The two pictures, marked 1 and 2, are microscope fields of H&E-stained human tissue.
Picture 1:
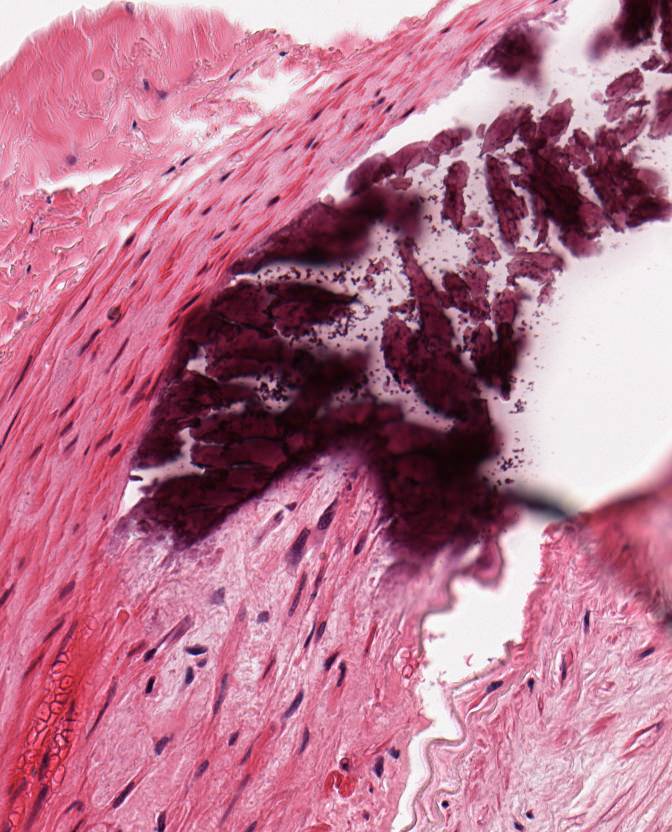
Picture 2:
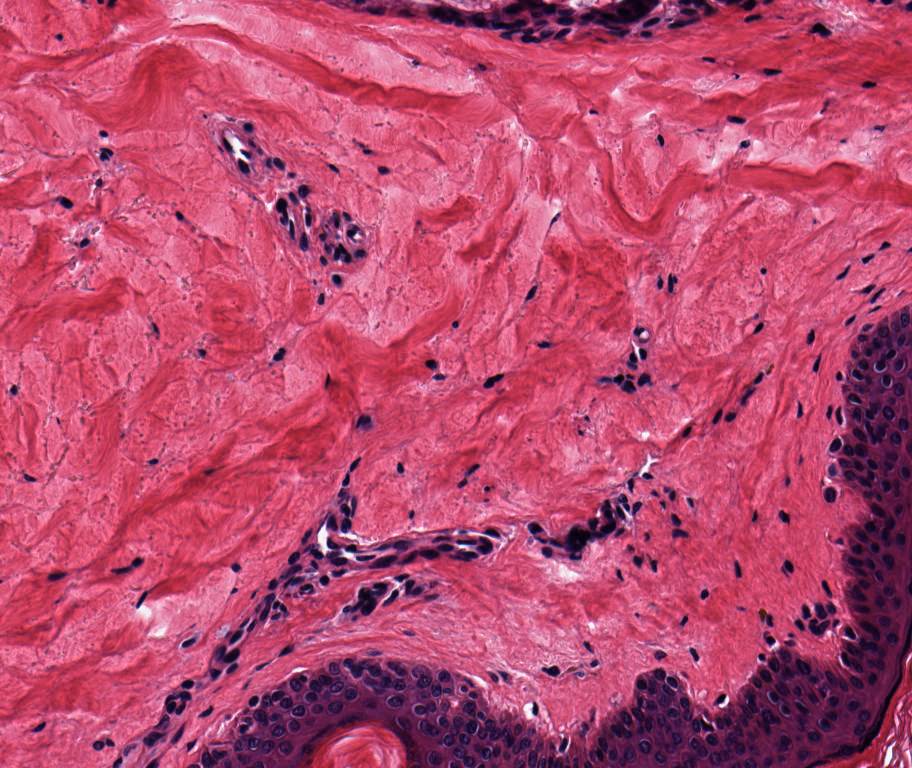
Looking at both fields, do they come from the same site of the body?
no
